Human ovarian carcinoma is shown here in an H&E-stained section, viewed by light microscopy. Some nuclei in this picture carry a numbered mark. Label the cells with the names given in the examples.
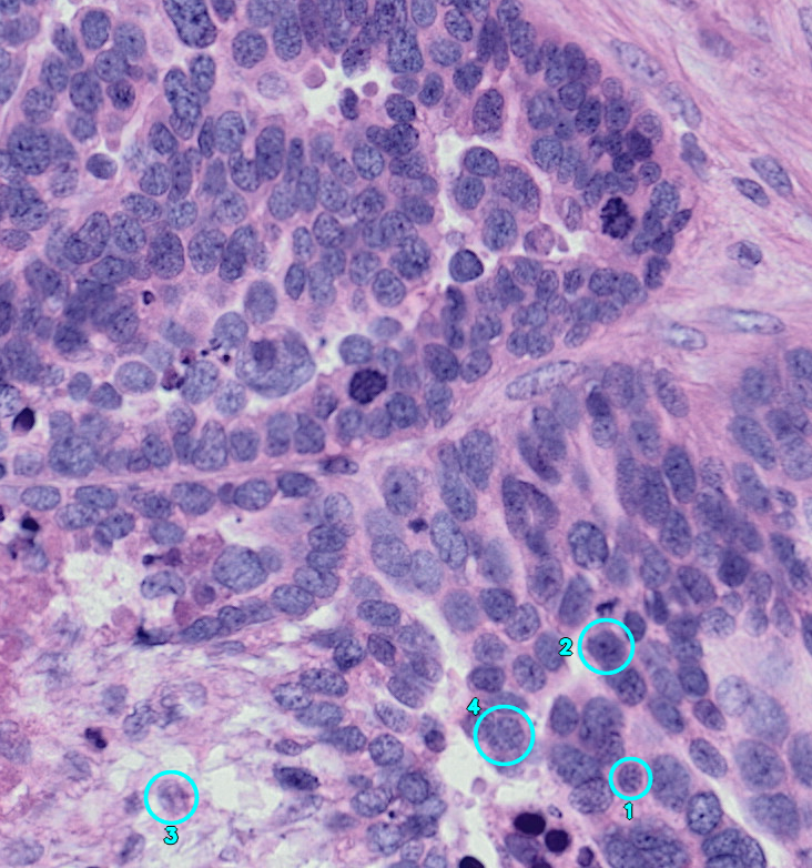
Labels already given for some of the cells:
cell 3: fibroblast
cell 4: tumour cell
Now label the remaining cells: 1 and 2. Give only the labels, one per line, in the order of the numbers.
tumour cell
tumour cell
